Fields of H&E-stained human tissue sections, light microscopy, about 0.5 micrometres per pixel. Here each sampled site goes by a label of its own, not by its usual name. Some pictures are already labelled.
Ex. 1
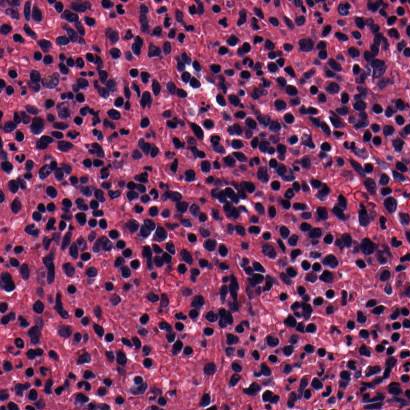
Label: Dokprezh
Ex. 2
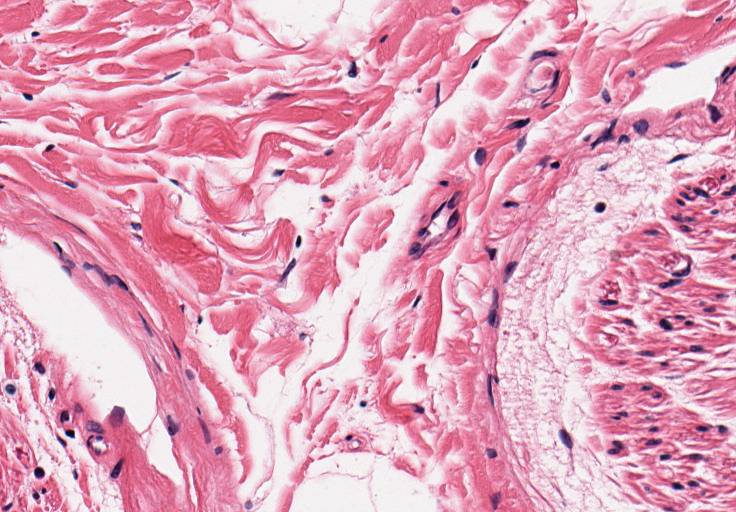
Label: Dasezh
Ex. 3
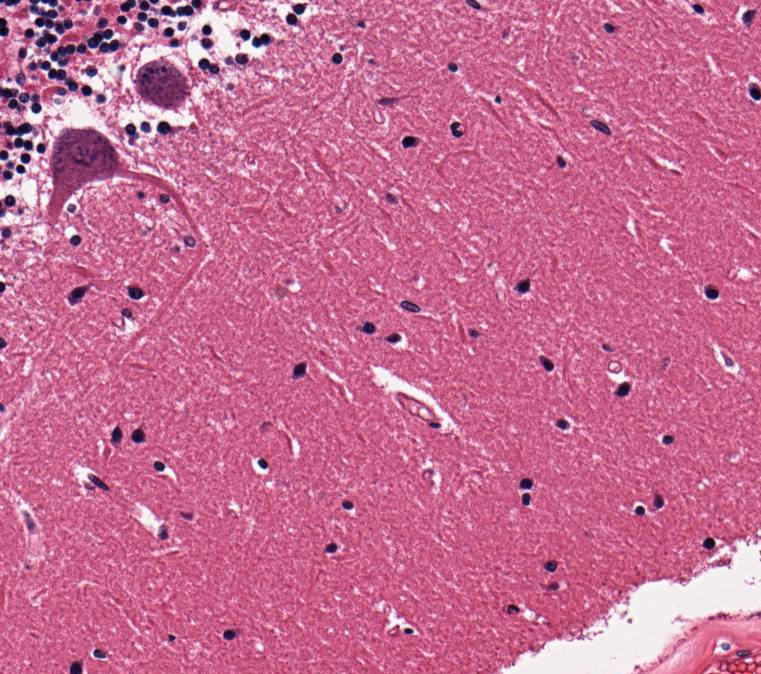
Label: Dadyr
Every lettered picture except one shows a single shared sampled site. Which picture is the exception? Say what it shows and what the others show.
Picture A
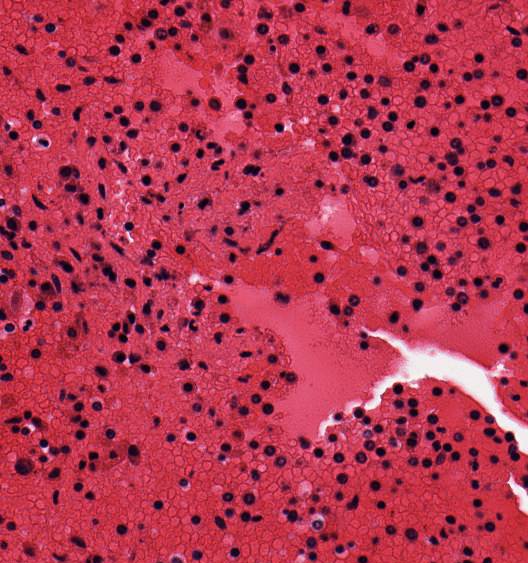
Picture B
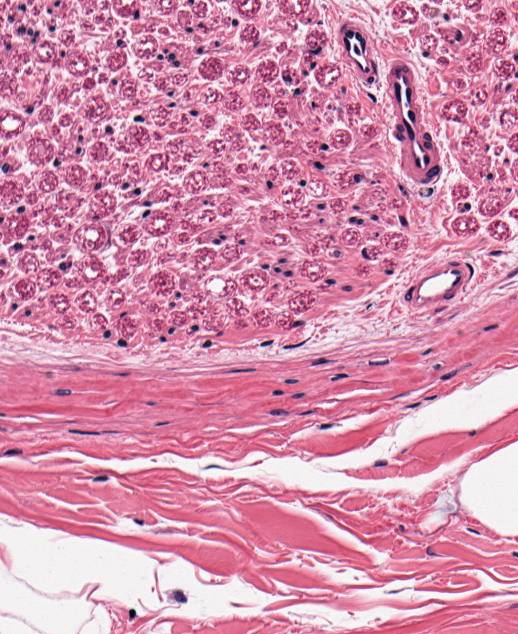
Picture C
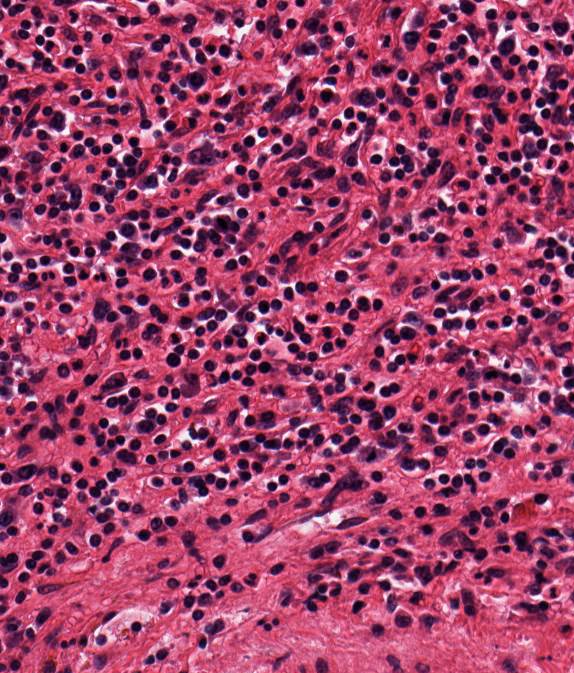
Picture B: Dasezh. All others: Dokprezh.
